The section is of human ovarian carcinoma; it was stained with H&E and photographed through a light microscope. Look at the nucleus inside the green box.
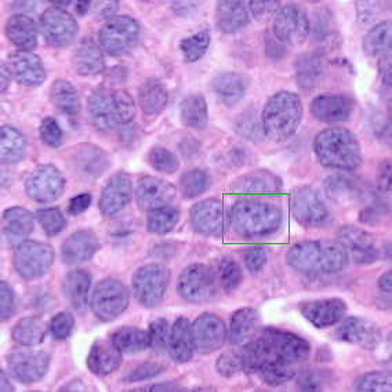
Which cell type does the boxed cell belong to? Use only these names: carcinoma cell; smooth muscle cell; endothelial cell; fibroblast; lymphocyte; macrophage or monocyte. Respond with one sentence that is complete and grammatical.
As to its cell type, the boxed cell is a carcinoma cell.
